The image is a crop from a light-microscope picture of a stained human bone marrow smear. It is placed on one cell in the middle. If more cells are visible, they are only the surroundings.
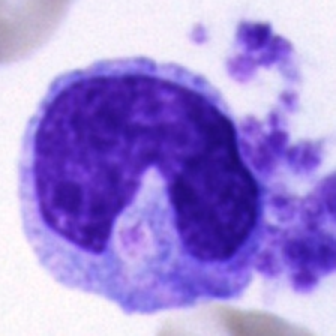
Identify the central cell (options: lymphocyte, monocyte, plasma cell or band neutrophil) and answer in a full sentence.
In this crop, the cell at the very middle is a monocyte.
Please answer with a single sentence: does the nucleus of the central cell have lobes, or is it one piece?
The nuclear material is gathered into one compact round, oval or kidney-shaped mass.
